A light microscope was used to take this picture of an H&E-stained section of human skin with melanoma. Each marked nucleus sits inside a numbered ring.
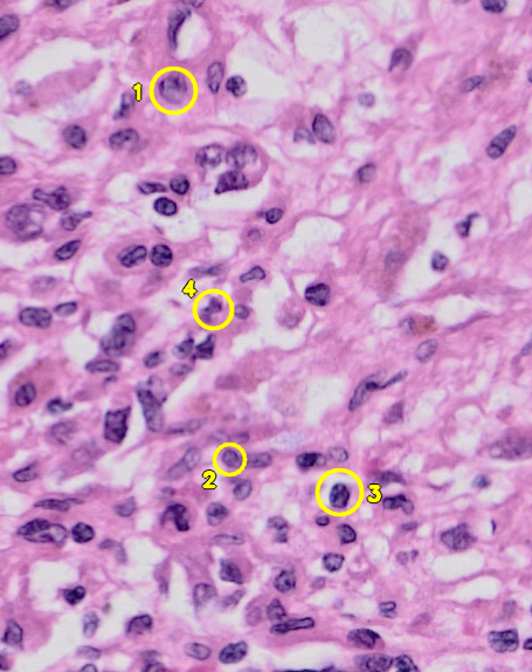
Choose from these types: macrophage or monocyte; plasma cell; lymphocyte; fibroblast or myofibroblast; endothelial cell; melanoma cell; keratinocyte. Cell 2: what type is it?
macrophage or monocyte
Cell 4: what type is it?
fibroblast or myofibroblast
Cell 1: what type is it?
endothelial cell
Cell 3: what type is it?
lymphocyte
